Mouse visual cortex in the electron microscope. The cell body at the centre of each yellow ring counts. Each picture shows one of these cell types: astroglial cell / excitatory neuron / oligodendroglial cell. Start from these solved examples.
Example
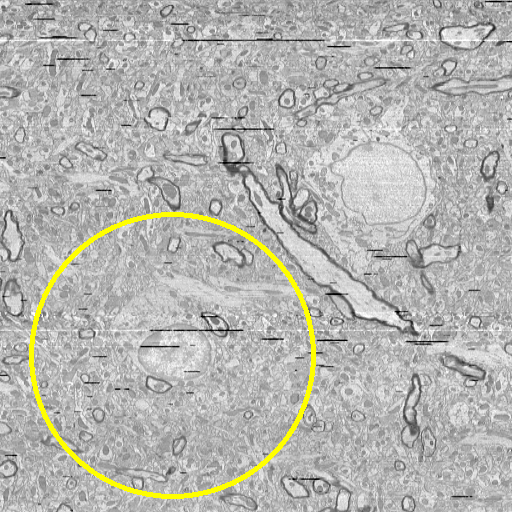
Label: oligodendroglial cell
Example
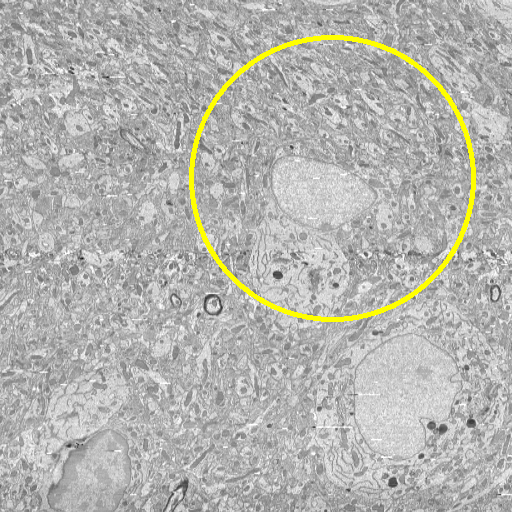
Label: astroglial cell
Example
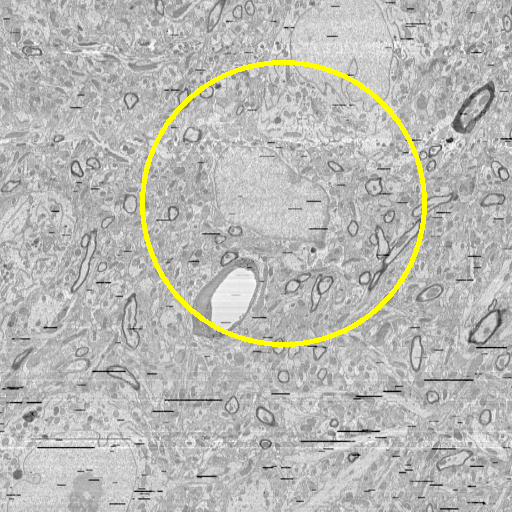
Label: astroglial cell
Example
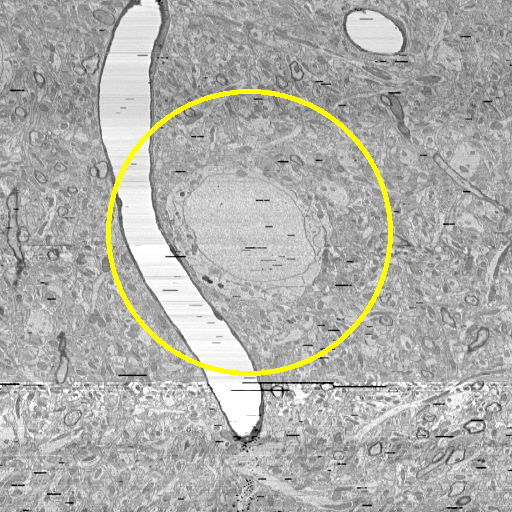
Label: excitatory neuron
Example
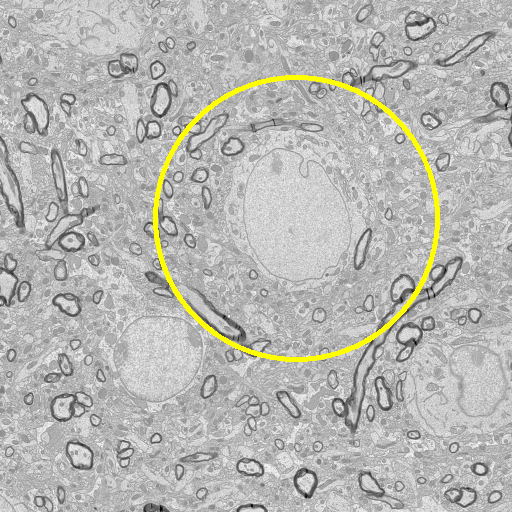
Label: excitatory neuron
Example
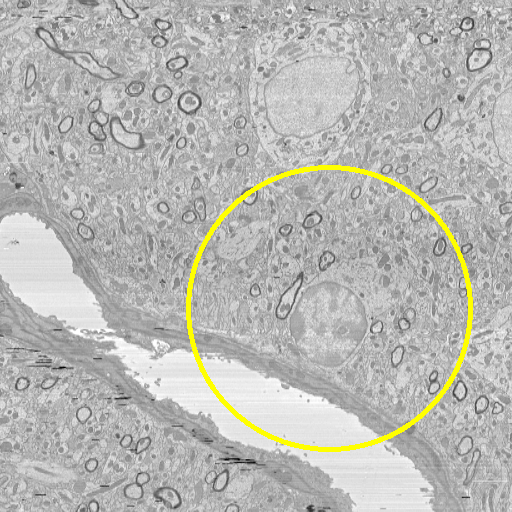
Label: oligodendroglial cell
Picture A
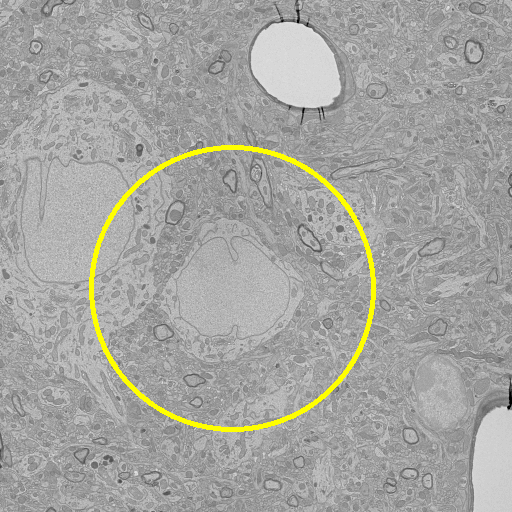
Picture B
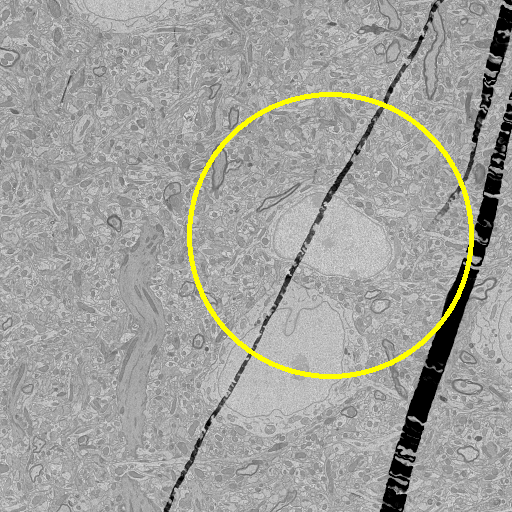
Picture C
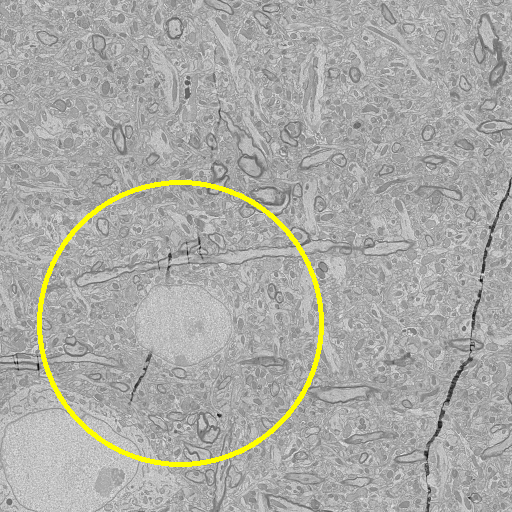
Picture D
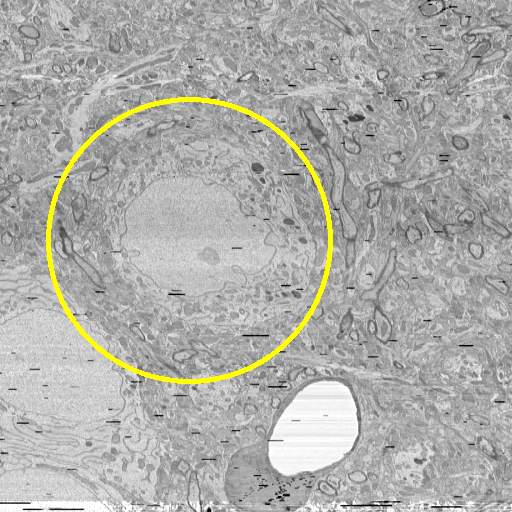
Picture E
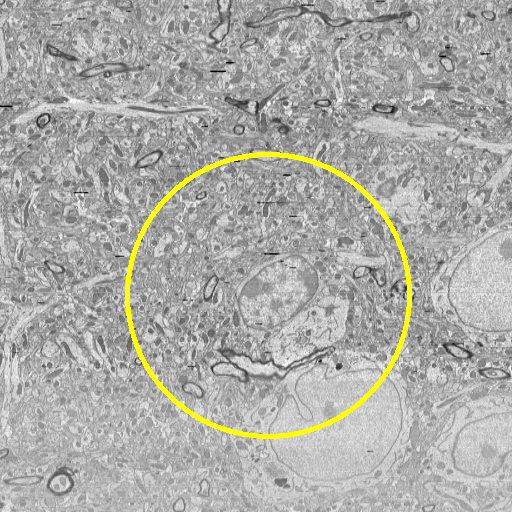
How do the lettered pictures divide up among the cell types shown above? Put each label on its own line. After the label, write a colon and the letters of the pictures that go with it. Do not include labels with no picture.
astroglial cell: B, C
excitatory neuron: A, D
oligodendroglial cell: E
